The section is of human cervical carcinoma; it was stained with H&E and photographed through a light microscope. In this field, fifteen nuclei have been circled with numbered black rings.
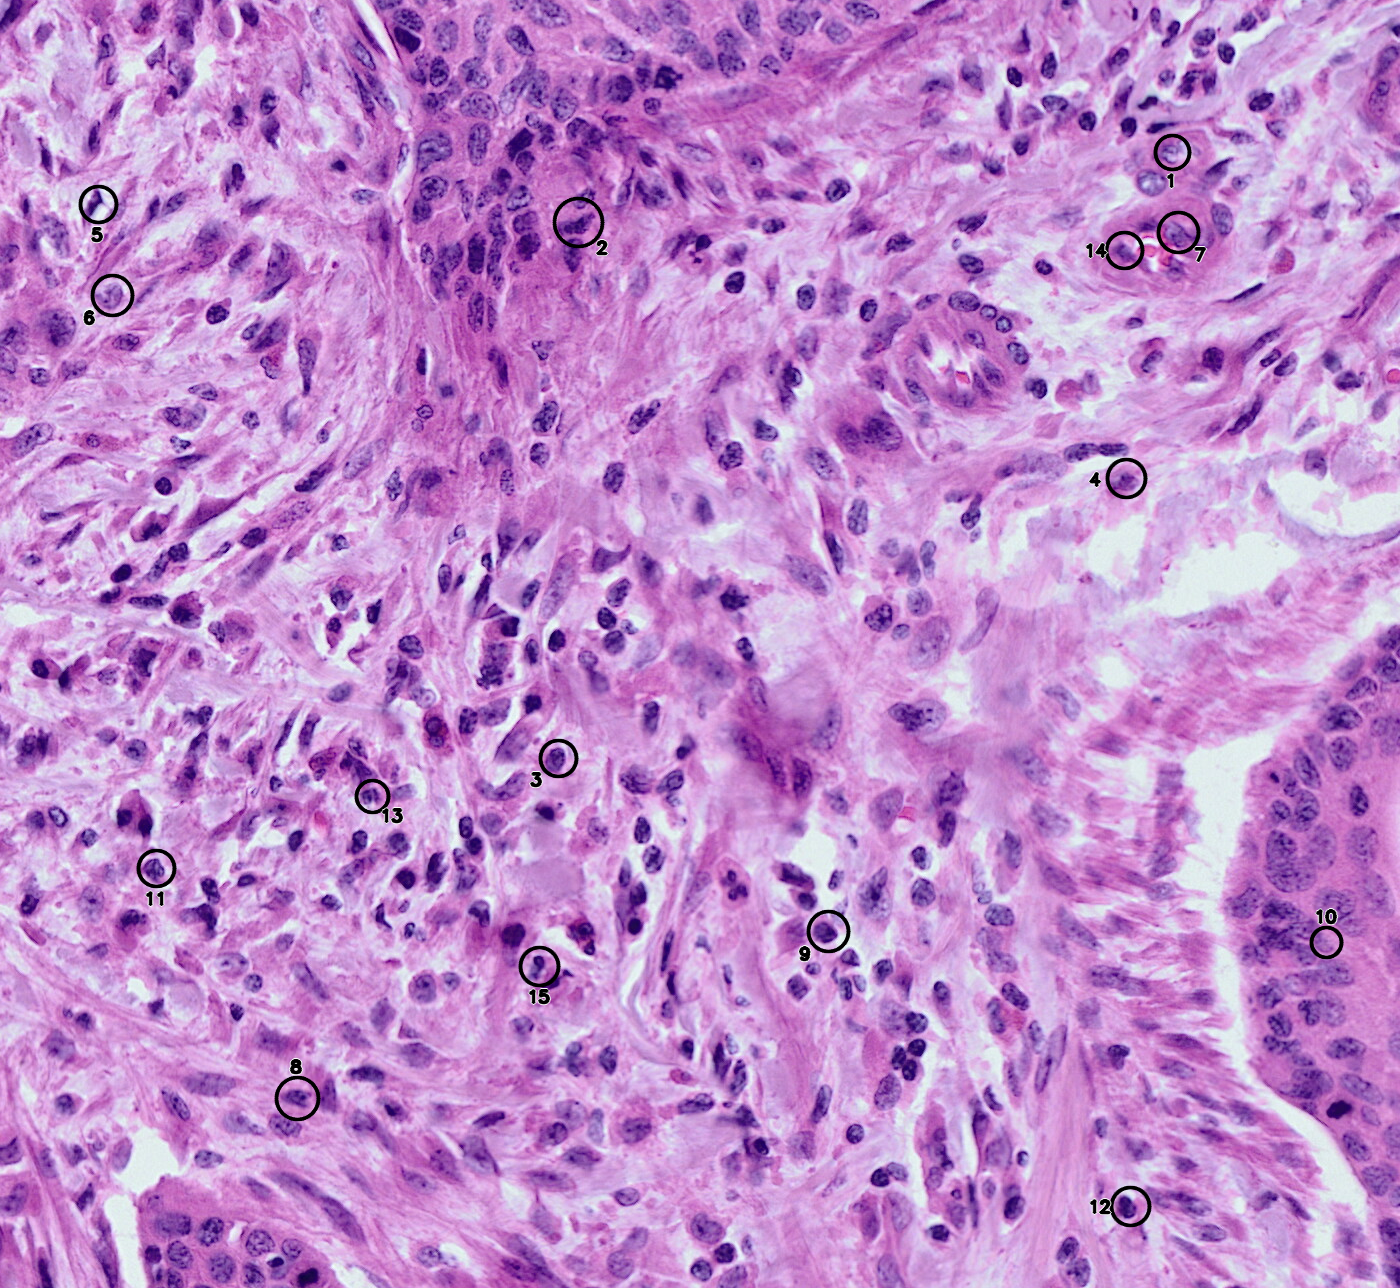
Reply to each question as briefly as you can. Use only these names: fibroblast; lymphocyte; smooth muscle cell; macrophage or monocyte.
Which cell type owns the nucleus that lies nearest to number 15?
macrophage or monocyte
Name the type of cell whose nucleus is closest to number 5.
fibroblast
